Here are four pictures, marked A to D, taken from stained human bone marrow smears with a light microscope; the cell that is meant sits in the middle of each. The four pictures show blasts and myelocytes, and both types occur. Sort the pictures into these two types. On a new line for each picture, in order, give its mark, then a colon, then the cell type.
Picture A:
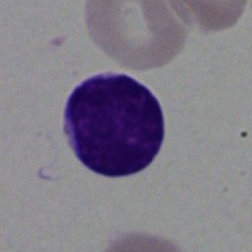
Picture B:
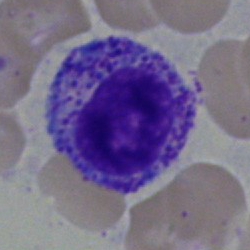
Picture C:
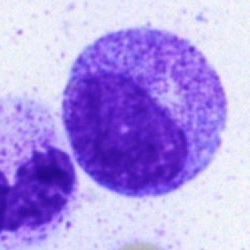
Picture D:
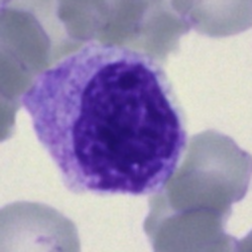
A: blast
B: myelocyte
C: myelocyte
D: myelocyte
